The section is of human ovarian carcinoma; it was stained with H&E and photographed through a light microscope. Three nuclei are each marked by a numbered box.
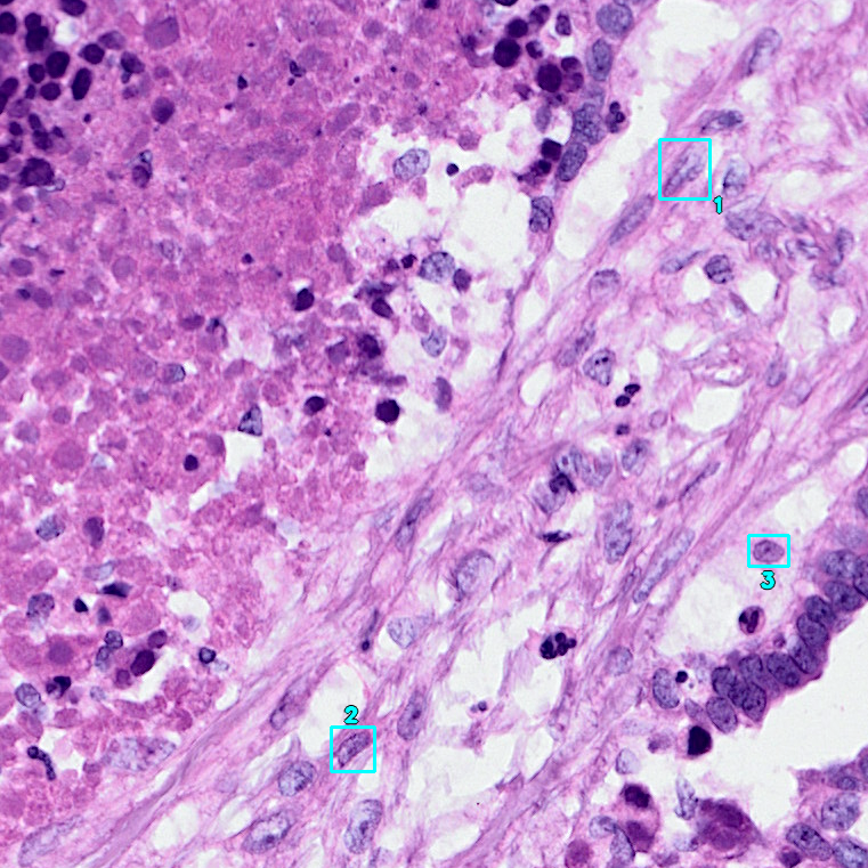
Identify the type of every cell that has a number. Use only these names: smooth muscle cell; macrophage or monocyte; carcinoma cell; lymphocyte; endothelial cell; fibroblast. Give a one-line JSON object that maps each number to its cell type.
{"1": "fibroblast", "2": "fibroblast", "3": "macrophage or monocyte"}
